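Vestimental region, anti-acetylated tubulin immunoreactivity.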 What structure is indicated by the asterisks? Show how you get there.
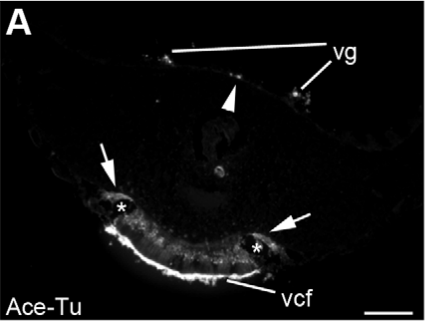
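Each asterisk sits in a round empty profile in the ventral band of labelled tissue. Two such profiles lie at either end of a brightly labelled ventral band.
Giant axon.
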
